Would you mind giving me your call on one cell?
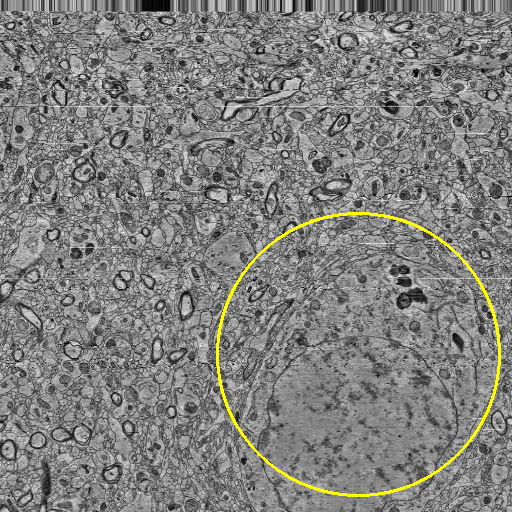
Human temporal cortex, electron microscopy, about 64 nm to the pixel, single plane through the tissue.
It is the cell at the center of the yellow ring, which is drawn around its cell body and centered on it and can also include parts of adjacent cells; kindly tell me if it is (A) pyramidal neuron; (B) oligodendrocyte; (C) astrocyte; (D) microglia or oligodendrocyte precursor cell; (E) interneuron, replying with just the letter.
A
